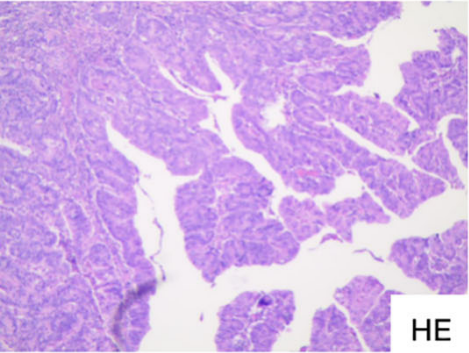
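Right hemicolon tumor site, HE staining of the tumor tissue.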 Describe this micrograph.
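At low power the field is filled with crowded, purple-staining epithelial fronds and glands separated by irregular clear spaces. The fronds are broad and branching, made of densely packed cells with dark nuclei and little pink stroma between them. Toward the upper left the tissue is more solid with small gland-like lumens. No regular arrangement of normal crypts is to be seen.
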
